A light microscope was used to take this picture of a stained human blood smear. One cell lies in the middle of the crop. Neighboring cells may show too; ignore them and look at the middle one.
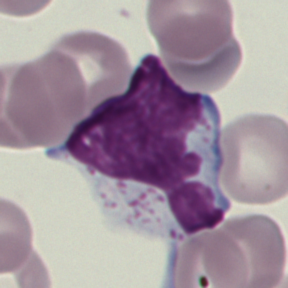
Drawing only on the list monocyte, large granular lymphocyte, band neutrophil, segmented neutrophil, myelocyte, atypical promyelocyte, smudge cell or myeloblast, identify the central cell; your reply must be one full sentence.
The central cell shown in this smear crop is a large granular lymphocyte.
